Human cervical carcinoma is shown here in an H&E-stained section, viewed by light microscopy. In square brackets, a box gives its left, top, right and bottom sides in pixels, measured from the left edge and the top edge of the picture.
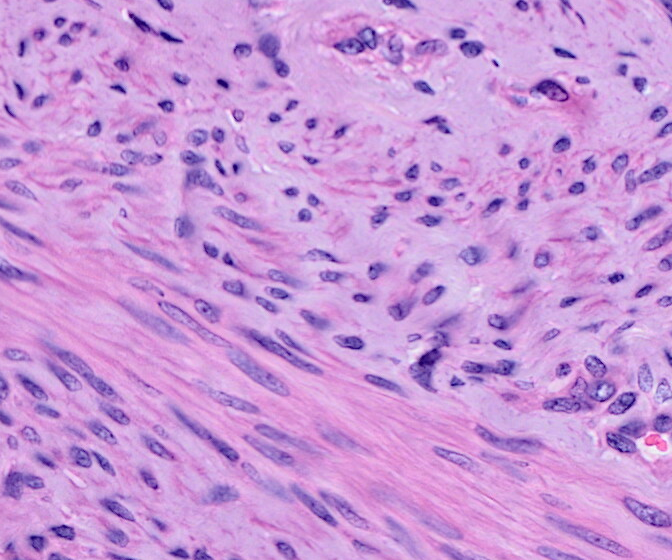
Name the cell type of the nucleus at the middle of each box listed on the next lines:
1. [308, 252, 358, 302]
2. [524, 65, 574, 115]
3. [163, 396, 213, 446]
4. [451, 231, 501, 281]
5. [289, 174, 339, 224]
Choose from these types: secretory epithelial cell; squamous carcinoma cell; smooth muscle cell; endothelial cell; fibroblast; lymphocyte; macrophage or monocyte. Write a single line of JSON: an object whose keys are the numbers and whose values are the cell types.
{"1": "smooth muscle cell", "2": "endothelial cell", "3": "smooth muscle cell", "4": "fibroblast", "5": "smooth muscle cell"}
